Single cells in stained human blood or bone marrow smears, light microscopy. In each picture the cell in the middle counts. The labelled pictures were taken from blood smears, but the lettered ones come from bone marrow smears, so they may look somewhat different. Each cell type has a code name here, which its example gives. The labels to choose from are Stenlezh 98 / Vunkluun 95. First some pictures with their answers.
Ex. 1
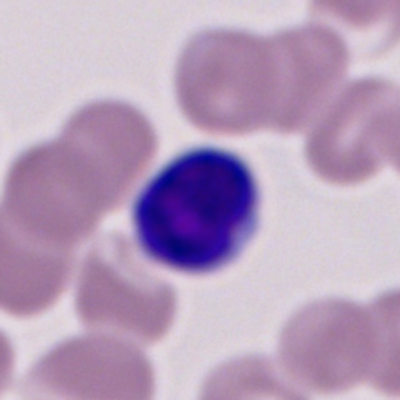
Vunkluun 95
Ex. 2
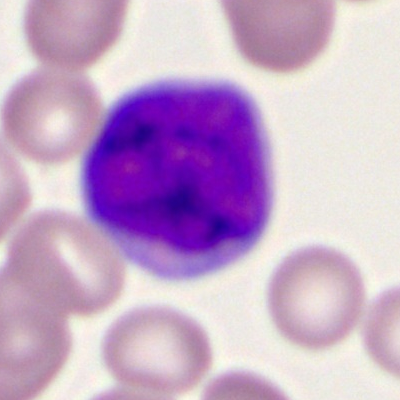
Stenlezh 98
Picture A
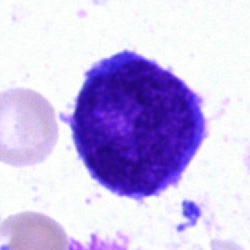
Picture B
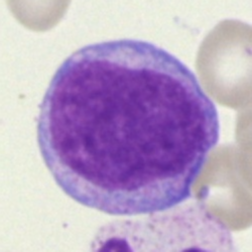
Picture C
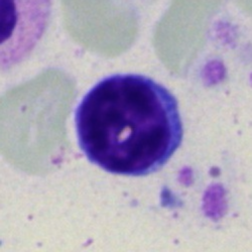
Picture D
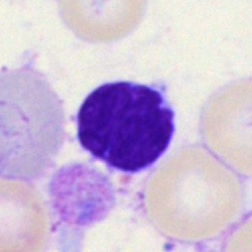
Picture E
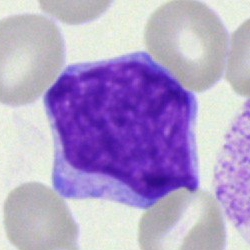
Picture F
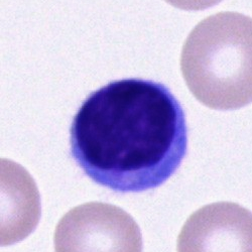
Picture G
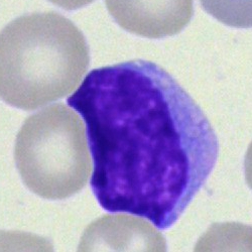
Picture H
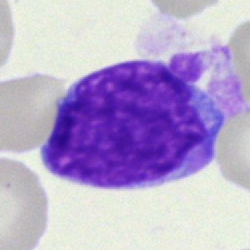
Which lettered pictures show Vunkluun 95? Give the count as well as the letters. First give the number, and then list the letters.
3: C, D, F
